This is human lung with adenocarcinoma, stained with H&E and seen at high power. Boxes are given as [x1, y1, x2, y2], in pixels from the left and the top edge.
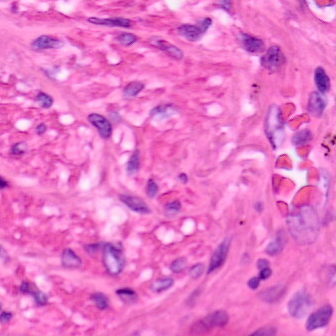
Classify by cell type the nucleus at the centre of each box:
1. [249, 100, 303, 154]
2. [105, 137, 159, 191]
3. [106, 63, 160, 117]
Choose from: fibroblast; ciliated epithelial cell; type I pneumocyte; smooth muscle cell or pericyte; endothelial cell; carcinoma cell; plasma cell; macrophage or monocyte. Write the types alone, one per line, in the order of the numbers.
endothelial cell
smooth muscle cell or pericyte
smooth muscle cell or pericyte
